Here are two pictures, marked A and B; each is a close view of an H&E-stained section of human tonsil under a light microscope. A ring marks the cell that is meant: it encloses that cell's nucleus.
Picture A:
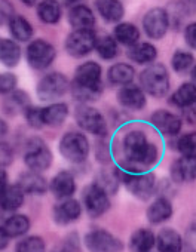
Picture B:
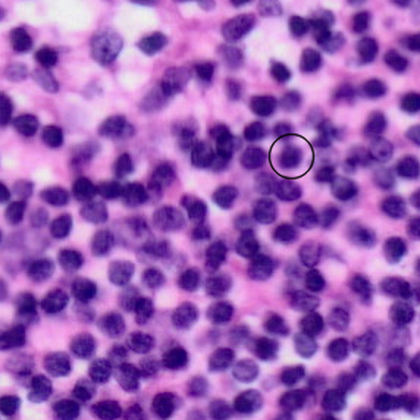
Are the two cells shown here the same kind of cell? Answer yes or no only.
yes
